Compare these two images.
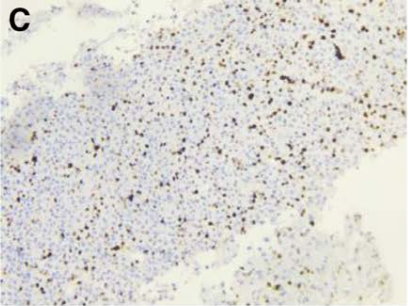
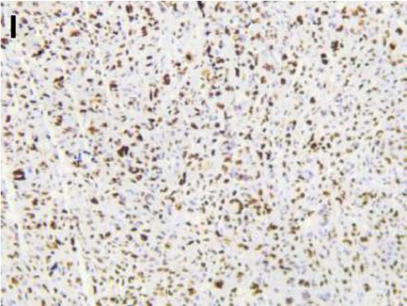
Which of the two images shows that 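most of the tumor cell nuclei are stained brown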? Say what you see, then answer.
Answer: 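The second image. First image: only a minority of nuclei are brown, most are pale blue.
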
